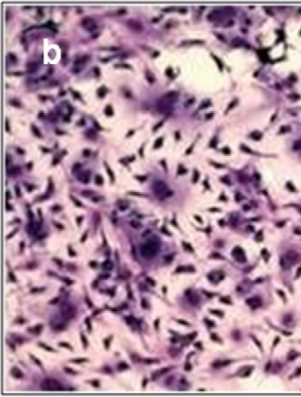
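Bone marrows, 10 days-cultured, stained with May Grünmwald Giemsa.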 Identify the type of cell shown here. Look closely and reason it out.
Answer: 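Colony forming units-fibroblasts. Many elongated, spindle-shaped cells with dark purple nuclei. Some cells are broader and flattened with pale violet cytoplasm. Cells lie close together in a crowded monolayer.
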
